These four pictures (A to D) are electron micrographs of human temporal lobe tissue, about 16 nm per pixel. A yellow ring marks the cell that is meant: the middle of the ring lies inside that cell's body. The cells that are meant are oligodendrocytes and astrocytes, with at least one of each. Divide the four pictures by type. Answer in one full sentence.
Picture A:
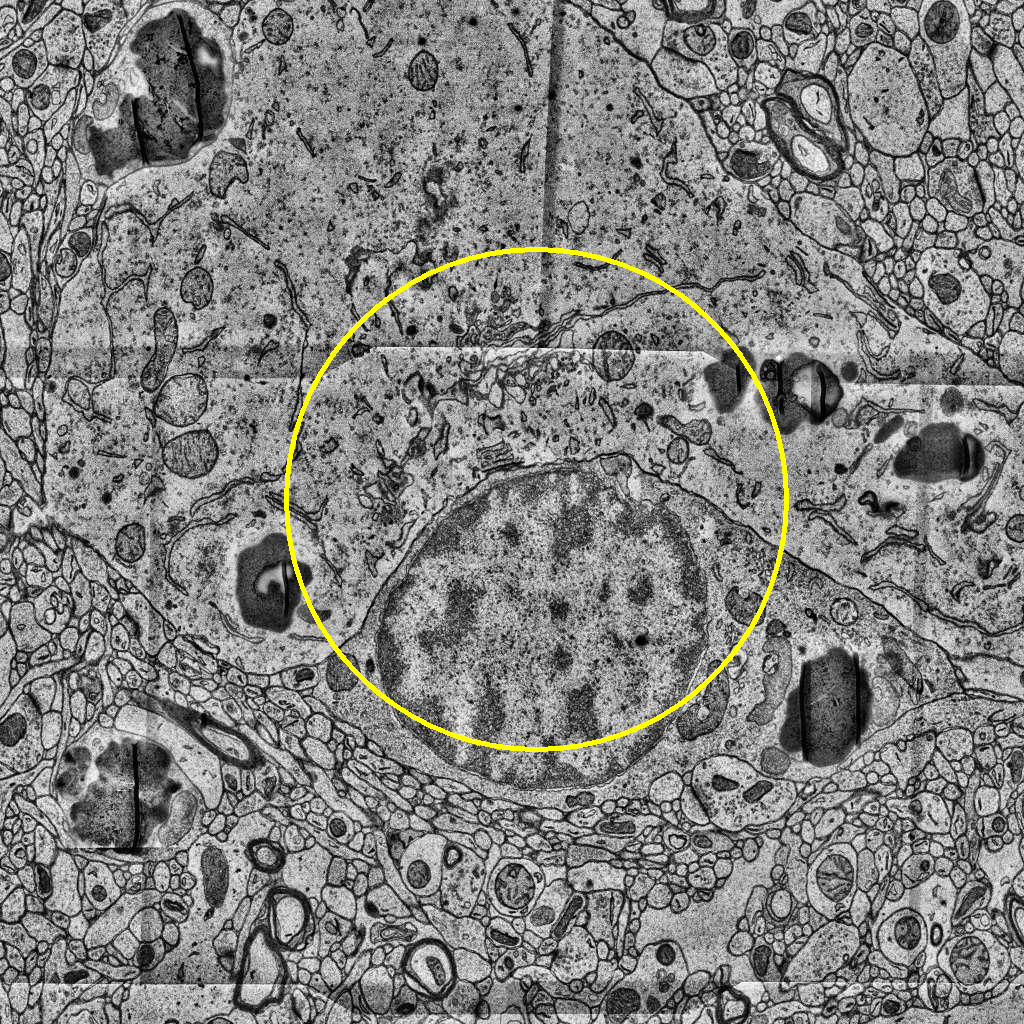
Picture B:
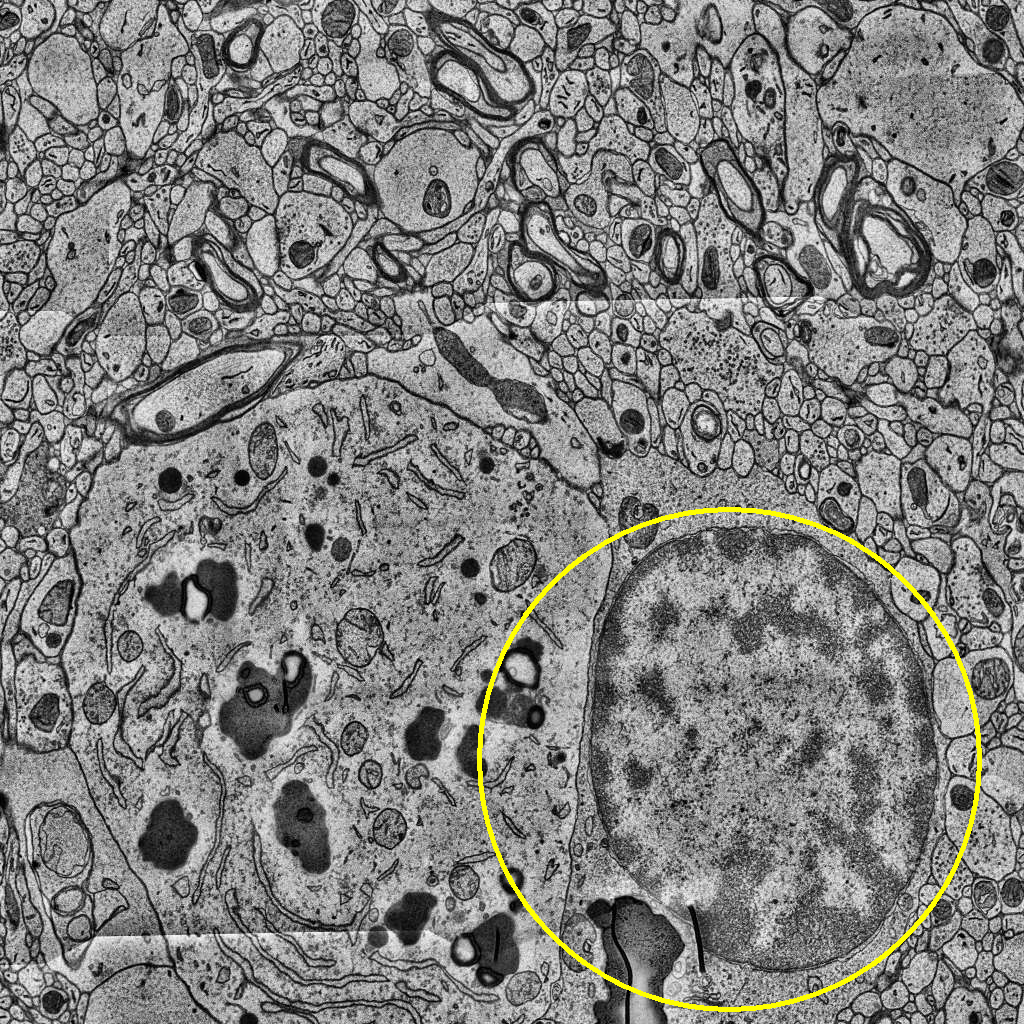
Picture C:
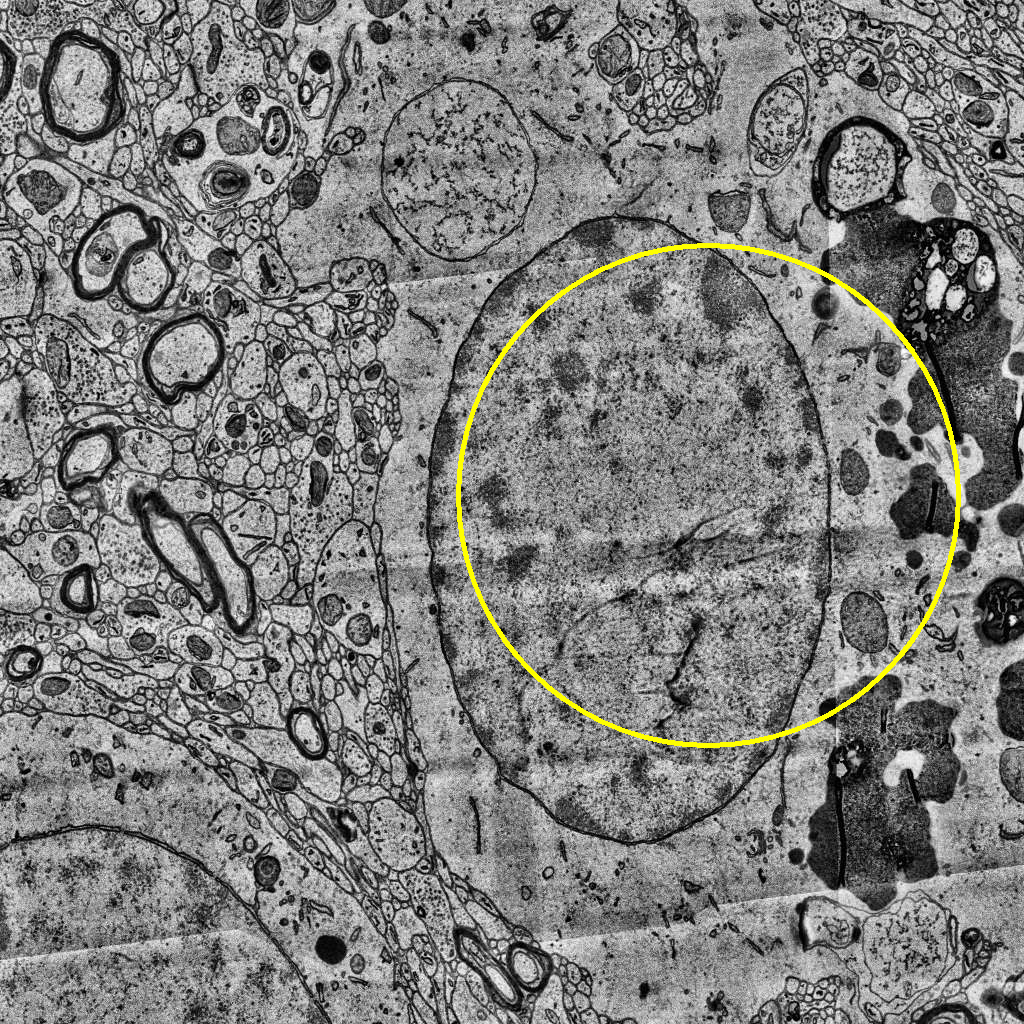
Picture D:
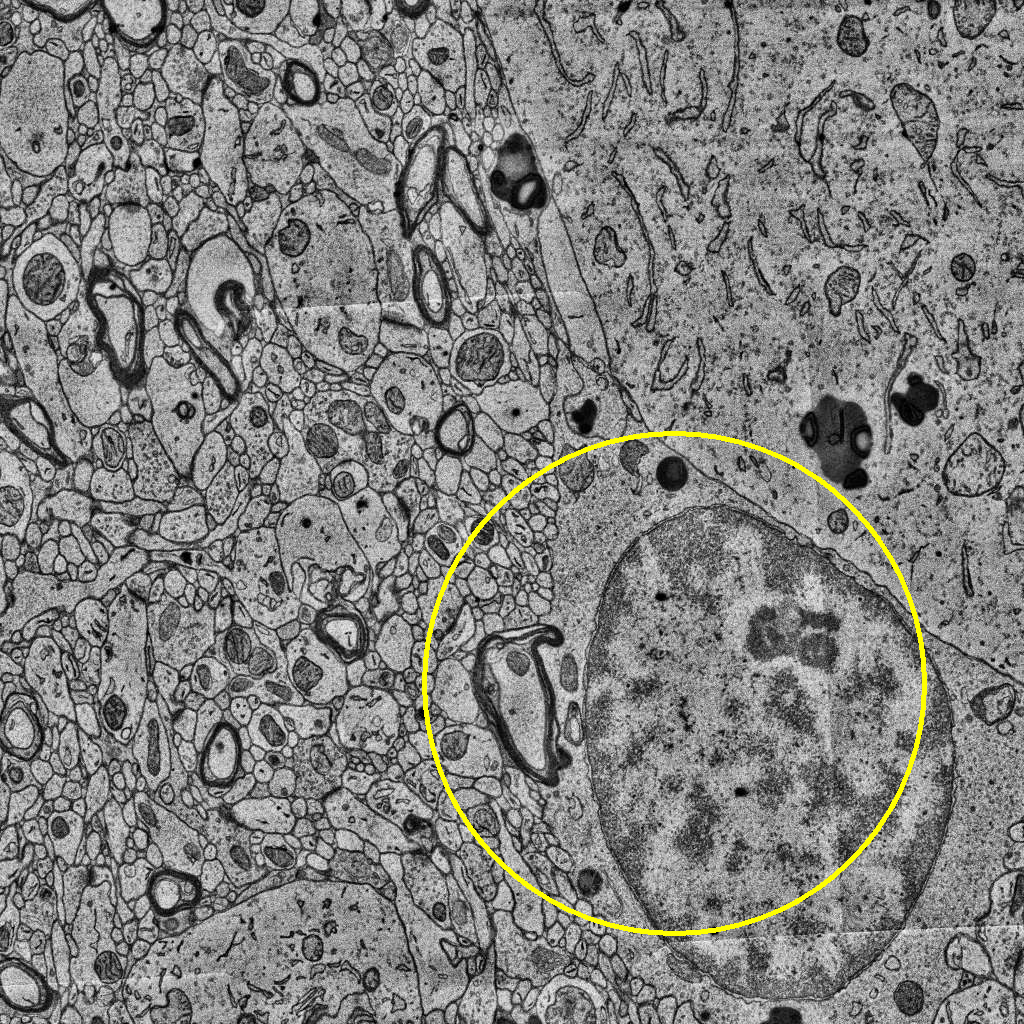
Pictures A, B and D show oligodendrocytes, while picture C shows an astrocyte.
